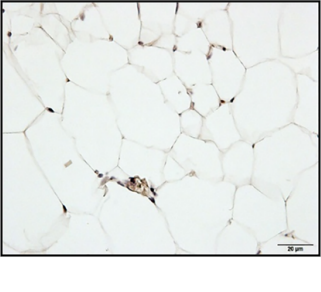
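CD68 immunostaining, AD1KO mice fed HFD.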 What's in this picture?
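This is white adipose tissue in which few immune cells lie between the fat cells. Large, closely packed adipocytes appear as empty white spaces with thin, delicate walls. Single small dark nuclei sit here and there along these walls. Only one small spot near the lower part of the field holds a few brownish-stained cells together. Clusters of crowded cells, like those in inflamed fat, are mostly absent.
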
